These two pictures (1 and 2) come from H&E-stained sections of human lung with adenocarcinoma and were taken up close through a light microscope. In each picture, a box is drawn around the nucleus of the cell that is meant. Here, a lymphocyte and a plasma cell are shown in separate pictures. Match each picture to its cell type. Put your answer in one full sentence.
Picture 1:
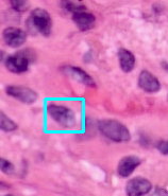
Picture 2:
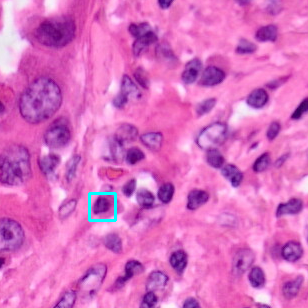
Picture 1 is of a lymphocyte, and picture 2 is of a plasma cell.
